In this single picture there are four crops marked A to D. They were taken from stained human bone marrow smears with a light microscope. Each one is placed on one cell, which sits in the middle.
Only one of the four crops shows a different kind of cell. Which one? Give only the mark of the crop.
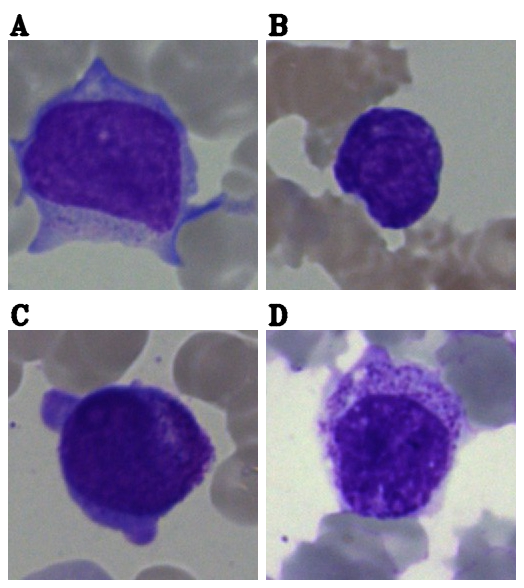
D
